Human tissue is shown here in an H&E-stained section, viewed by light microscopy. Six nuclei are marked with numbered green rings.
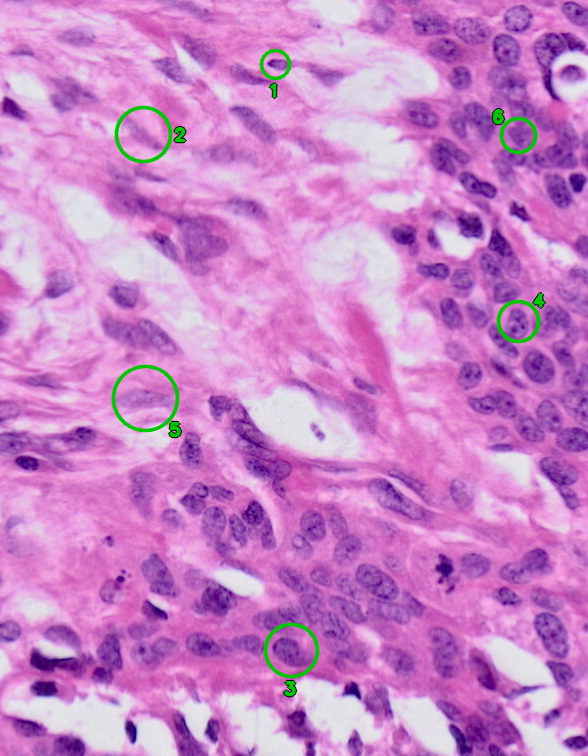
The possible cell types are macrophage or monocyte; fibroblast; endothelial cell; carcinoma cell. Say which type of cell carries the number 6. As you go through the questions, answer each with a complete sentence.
Cell 6 in the field is a carcinoma cell.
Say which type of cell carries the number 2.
Cell number 2 in this section is a fibroblast.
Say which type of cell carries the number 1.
The cell pointed out by number 1 is a fibroblast.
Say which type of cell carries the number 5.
The cell indicated with the number 5 is classed as a fibroblast.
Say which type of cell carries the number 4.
The nucleus labelled 4 belongs to a macrophage or monocyte.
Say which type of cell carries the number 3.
The cell numbered 3 represents a carcinoma cell.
